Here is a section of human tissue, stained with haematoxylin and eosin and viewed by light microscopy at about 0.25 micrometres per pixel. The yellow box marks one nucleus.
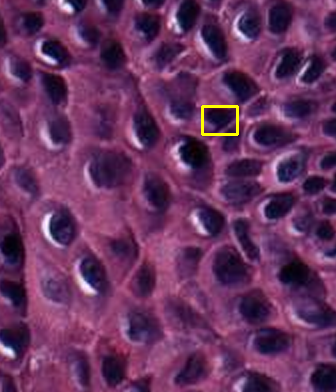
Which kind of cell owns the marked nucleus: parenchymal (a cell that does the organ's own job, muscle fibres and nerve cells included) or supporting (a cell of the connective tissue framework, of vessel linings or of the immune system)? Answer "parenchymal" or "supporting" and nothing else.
parenchymal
